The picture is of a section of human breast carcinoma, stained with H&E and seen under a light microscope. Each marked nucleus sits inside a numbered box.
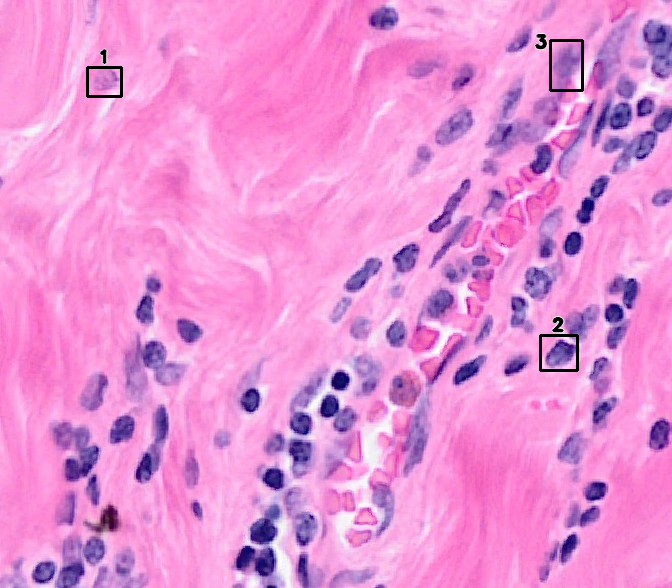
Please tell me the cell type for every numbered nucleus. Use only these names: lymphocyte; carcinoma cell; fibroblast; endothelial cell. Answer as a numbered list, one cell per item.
1. fibroblast
2. lymphocyte
3. endothelial cell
